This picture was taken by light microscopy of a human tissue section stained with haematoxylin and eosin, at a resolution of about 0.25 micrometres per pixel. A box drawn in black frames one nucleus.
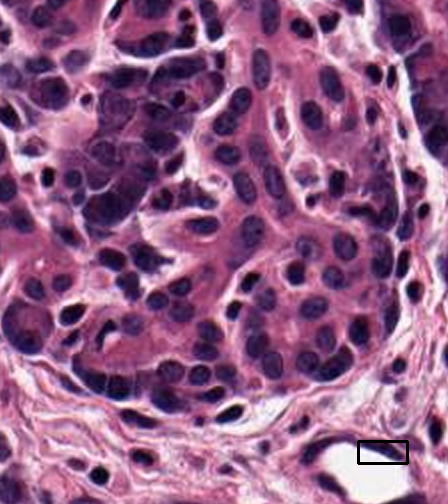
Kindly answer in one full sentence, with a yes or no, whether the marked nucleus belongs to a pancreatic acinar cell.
No, a pancreatic acinar cell does not own the marked nucleus, which belongs to a supporting cell.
